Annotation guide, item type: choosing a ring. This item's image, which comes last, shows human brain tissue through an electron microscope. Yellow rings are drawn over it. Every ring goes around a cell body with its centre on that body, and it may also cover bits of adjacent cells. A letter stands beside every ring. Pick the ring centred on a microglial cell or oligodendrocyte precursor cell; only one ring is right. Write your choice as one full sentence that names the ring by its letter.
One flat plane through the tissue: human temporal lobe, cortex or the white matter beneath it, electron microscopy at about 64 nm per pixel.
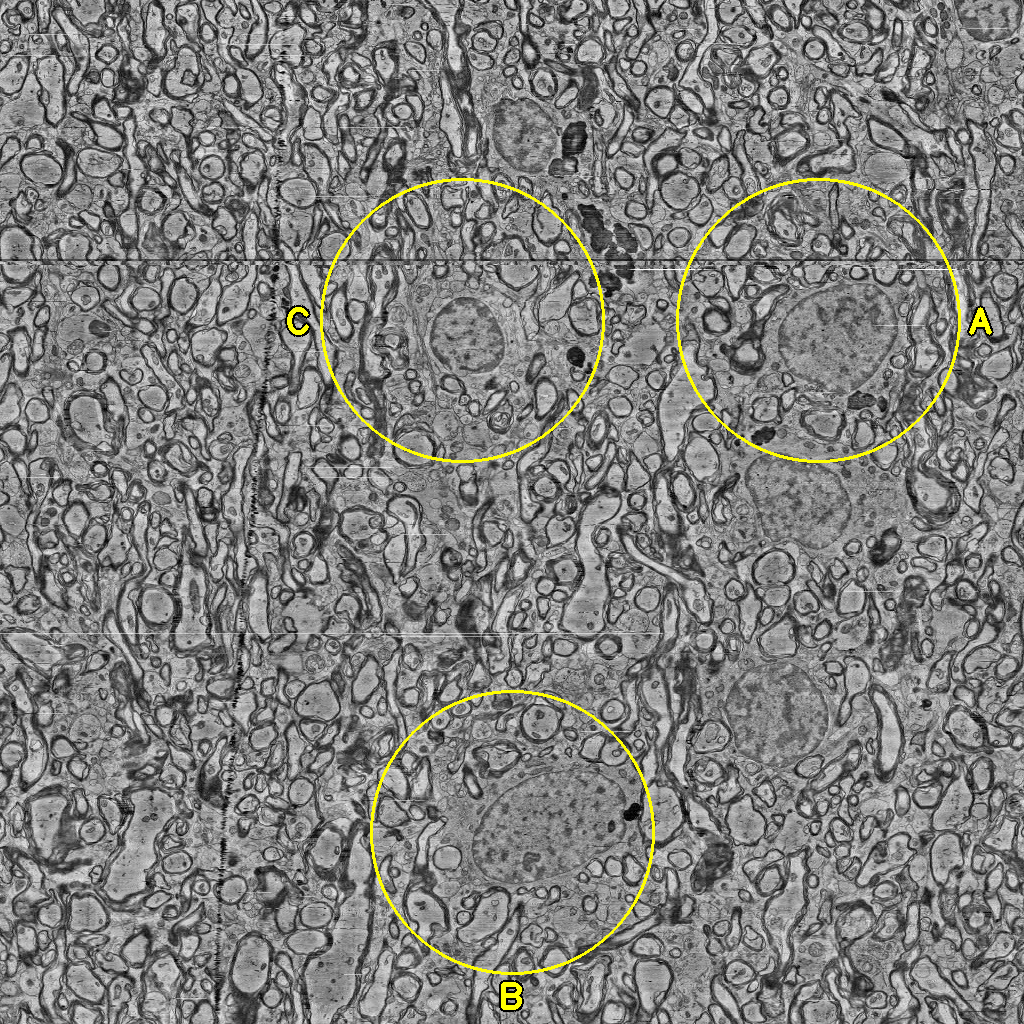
In the image, Ring C is centred on a cell of the kind requested.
